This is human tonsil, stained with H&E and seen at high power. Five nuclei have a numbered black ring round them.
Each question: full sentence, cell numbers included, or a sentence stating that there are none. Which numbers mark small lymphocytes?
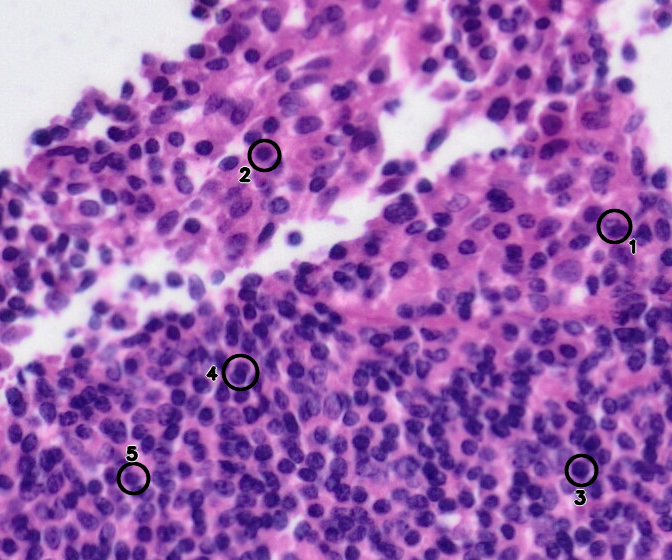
Cells 3, 4 and 5 in the section are typed as small lymphocytes.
